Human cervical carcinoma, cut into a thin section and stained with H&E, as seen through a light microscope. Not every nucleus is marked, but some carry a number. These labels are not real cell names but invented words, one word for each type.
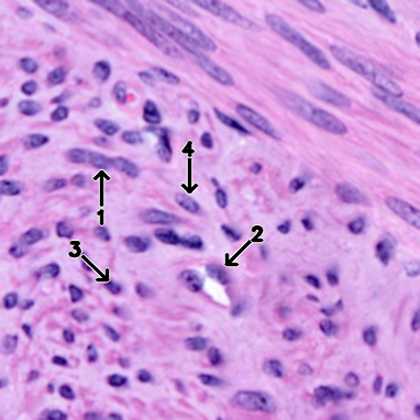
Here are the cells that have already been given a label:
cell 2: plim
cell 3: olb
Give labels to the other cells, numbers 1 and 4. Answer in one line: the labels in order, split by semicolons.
olb; olb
